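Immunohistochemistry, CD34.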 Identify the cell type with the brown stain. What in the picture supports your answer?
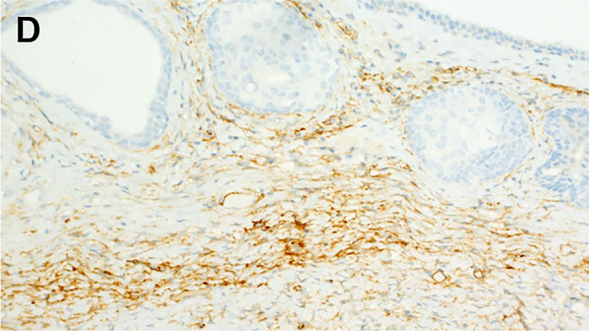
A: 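Spindle cells. Brown stain outlines elongated, wavy cell profiles in the stroma. Epithelial structures at the top are unstained.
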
